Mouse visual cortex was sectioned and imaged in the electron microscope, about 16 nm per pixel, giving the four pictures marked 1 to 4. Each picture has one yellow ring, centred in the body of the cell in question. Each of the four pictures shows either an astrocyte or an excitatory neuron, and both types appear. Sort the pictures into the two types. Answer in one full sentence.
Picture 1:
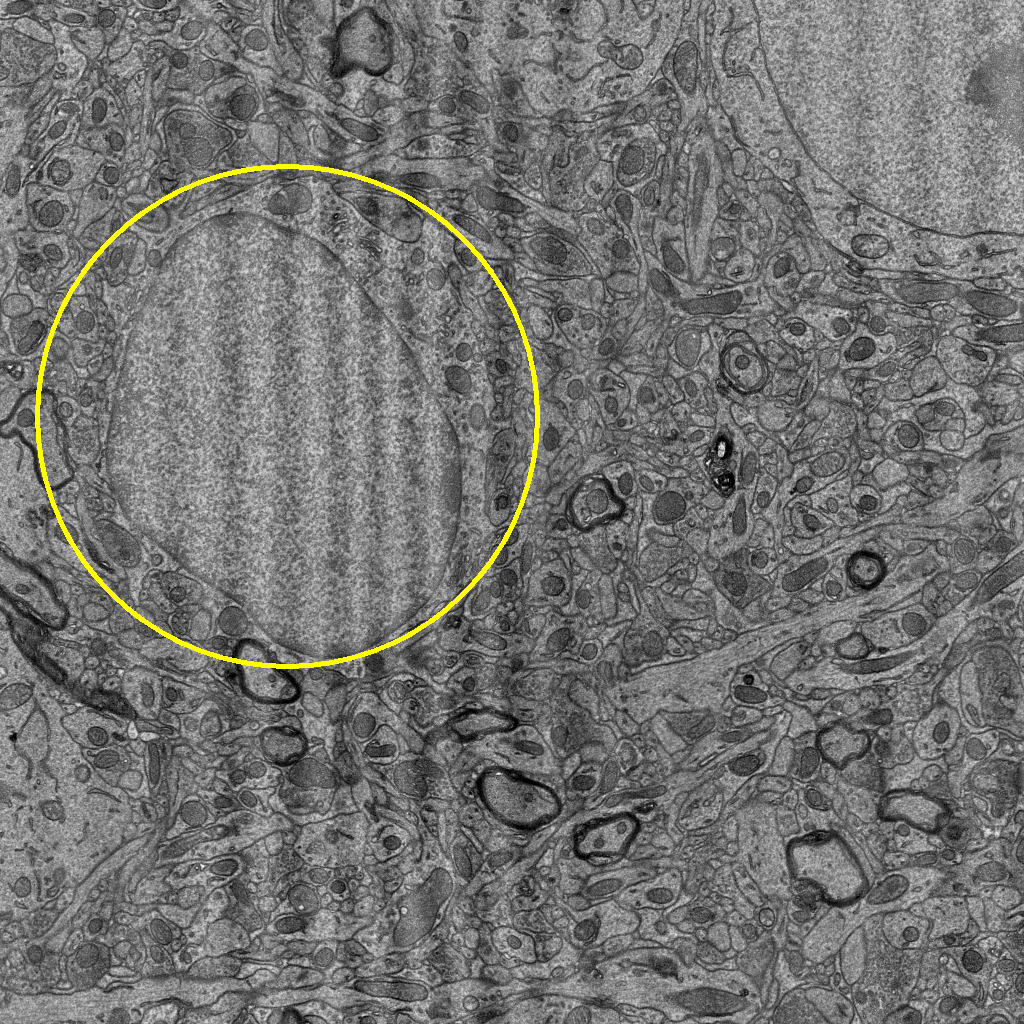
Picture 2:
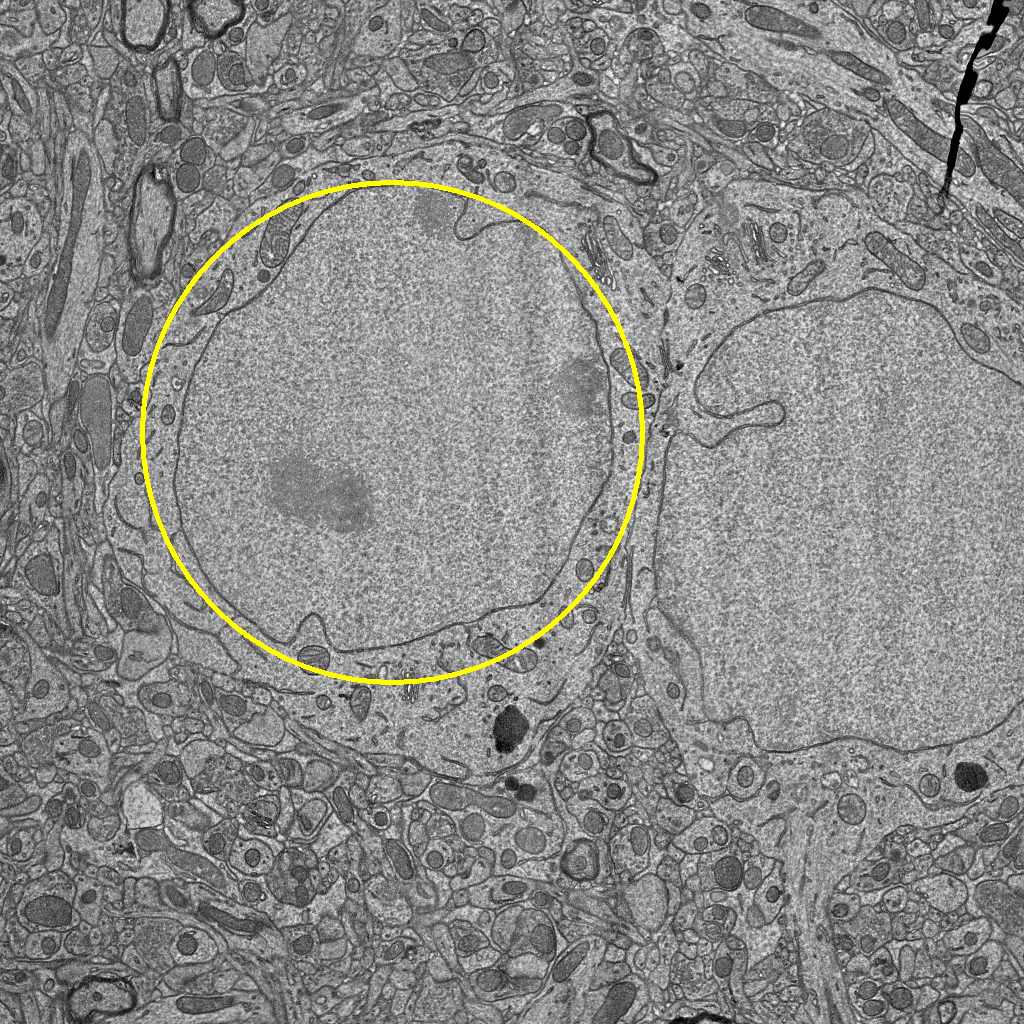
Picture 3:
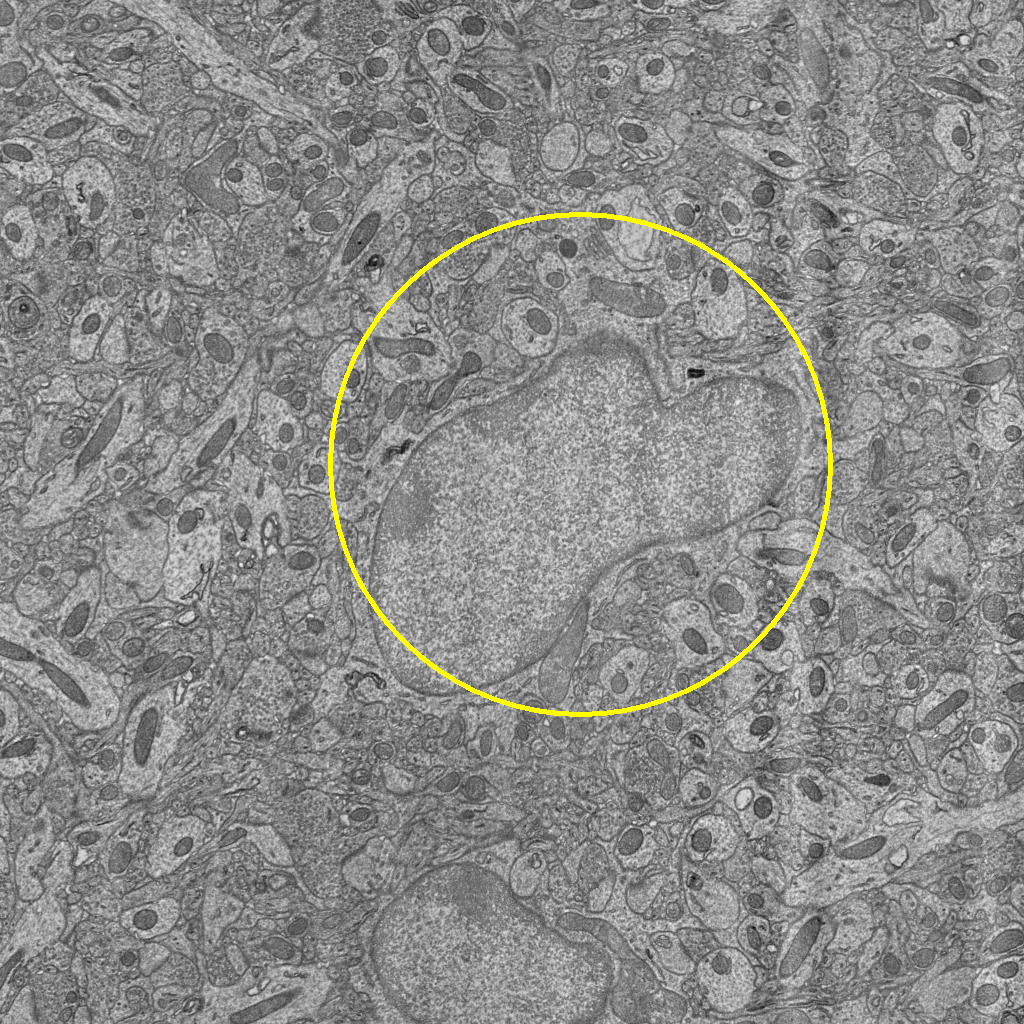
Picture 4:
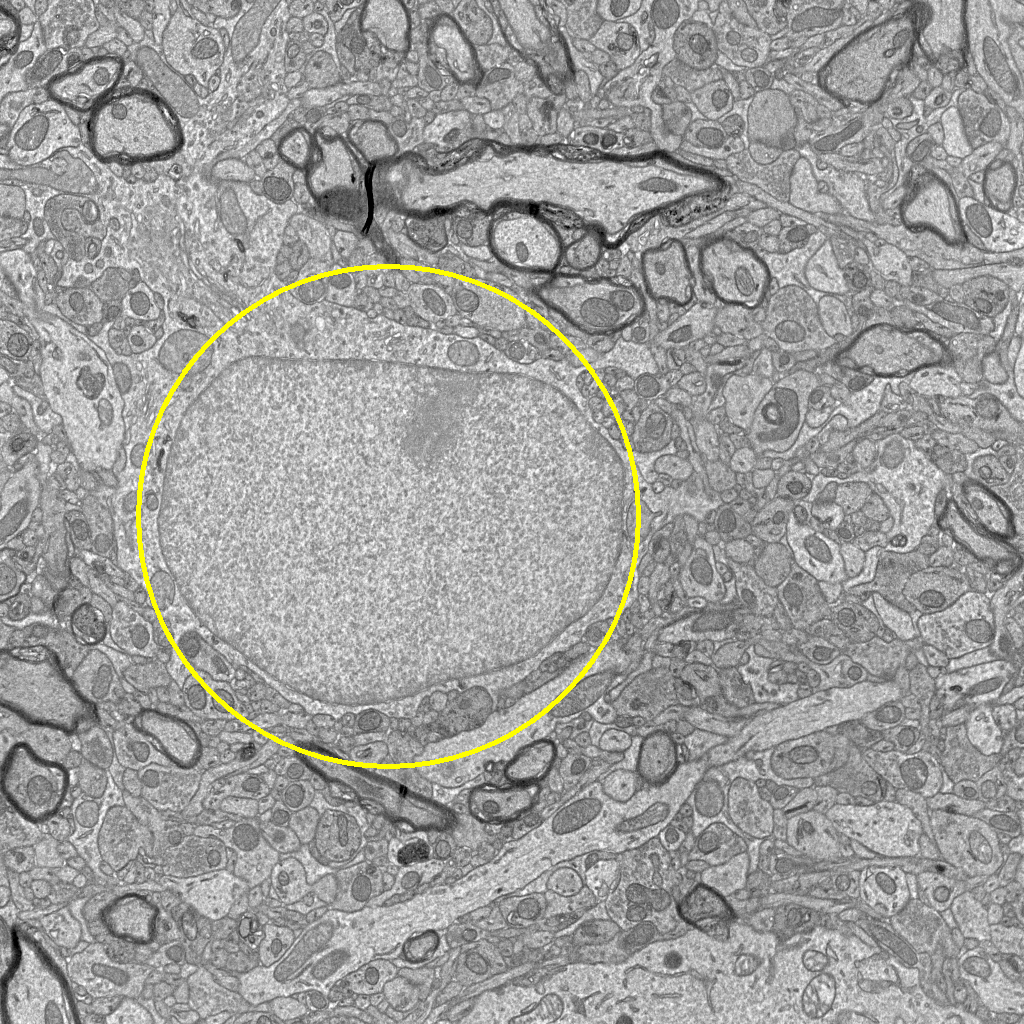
Pictures 1, 3 and 4 show astrocytes; picture 2 shows an excitatory neuron.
